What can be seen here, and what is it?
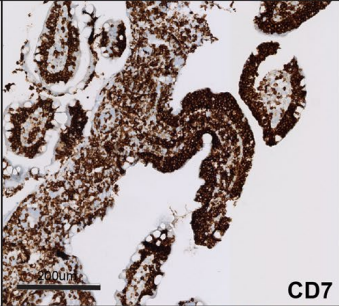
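Mucosal folds lined by columnar epithelium with clear goblet vacuoles are heavily permeated by small cells stained strongly brown. The brown cells fill the connective tissue between and within the folds and also densely occupy the epithelial layer, turning whole folds dark brown, while only a few pale goblet vacuoles and blue epithelial nuclei remain visible. The stained cells are small and closely packed, with little intervening stroma. This is a dense lymphocytic infiltrate spreading through the mucosa and its surface epithelium.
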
